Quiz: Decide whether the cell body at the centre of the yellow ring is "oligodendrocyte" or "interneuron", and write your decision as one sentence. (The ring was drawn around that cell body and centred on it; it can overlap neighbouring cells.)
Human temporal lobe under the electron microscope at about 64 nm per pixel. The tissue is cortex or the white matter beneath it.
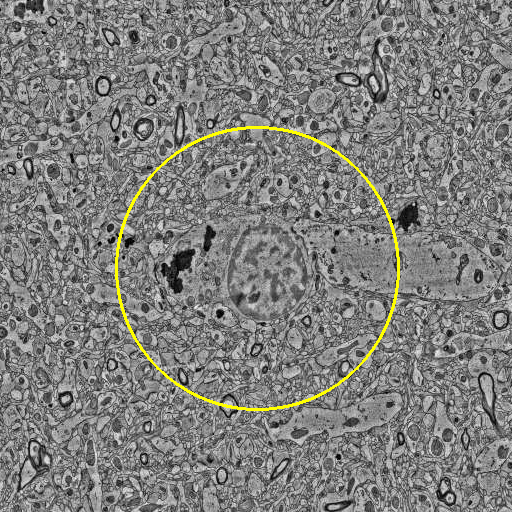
The cell the ring is centred on is an oligodendrocyte.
